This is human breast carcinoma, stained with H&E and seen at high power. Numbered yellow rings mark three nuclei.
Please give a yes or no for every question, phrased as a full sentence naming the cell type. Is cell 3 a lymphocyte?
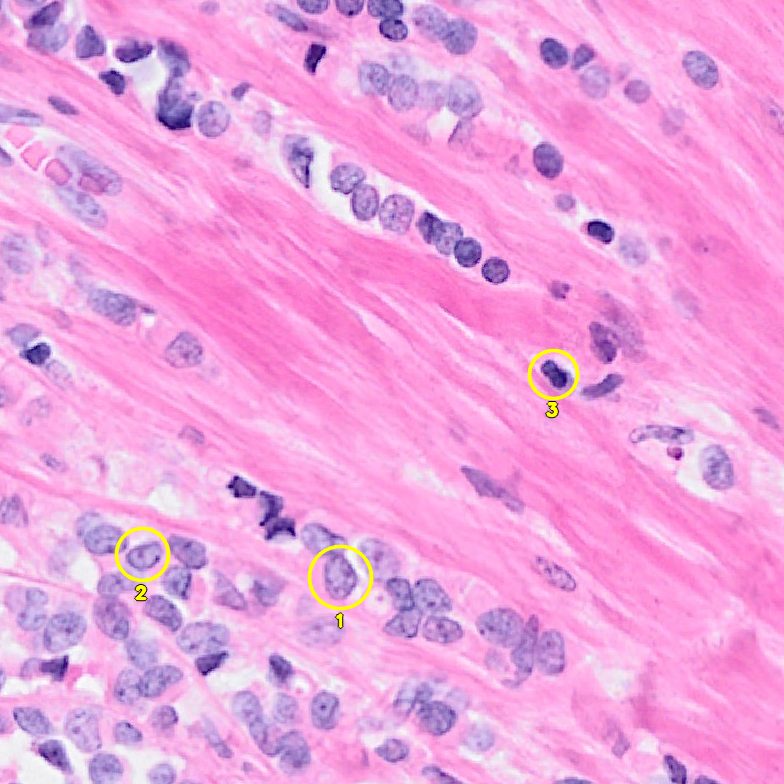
Yes, the cell referred to as number 3 is a lymphocyte.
